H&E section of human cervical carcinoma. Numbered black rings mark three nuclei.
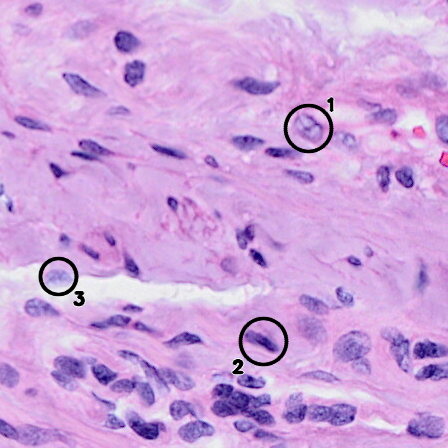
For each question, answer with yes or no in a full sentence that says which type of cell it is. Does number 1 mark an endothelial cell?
Yes, the cell with the number 1 is an endothelial cell.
